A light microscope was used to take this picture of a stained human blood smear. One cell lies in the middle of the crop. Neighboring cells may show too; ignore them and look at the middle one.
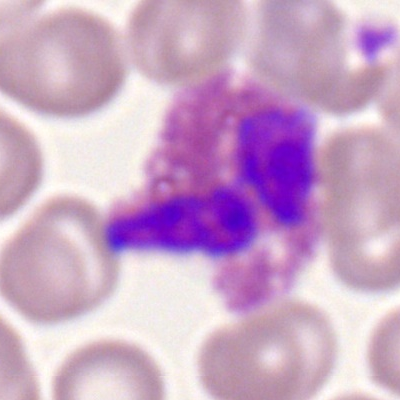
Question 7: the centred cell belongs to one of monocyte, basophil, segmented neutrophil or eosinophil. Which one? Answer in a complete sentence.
What sits at the centre of this crop is an eosinophil.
